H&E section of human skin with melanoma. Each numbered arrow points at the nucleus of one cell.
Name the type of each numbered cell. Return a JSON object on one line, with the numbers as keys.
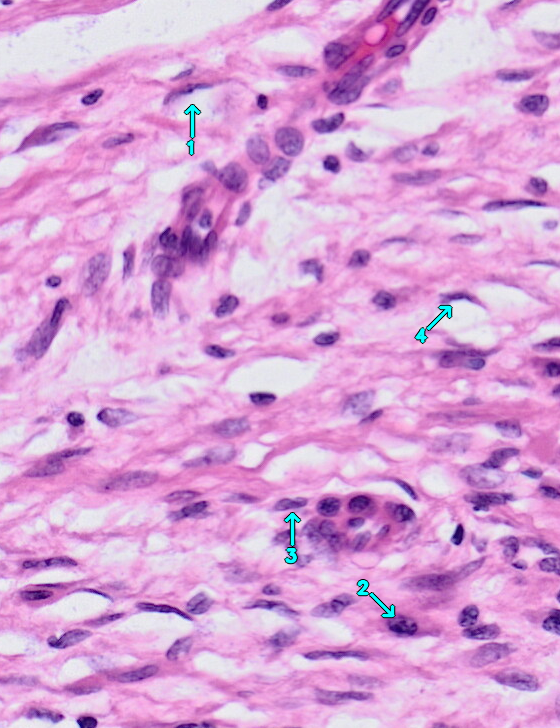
{"1": "fibroblast or myofibroblast", "2": "plasma cell", "3": "fibroblast or myofibroblast", "4": "fibroblast or myofibroblast"}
